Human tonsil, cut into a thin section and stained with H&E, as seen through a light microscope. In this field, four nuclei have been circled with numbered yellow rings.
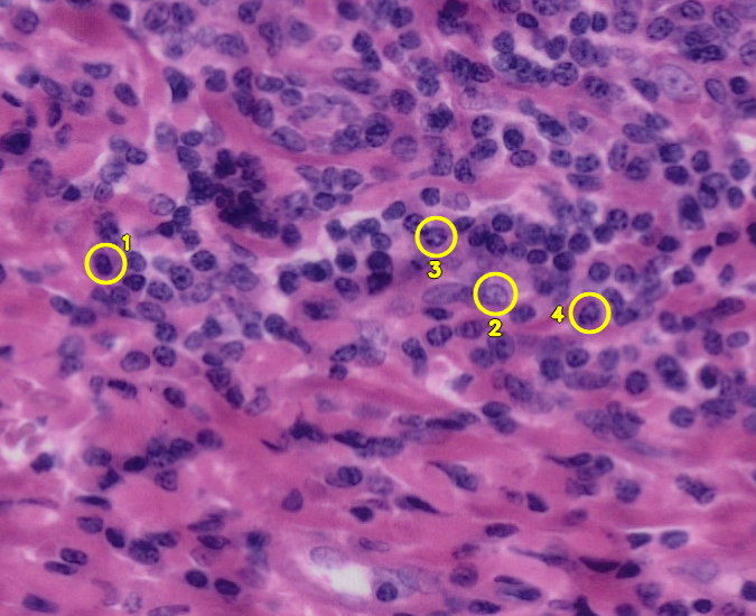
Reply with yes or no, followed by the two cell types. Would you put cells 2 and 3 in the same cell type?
No, in contrast to cell 2, which is an endothelial cell, cell 3 is a plasma cell.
